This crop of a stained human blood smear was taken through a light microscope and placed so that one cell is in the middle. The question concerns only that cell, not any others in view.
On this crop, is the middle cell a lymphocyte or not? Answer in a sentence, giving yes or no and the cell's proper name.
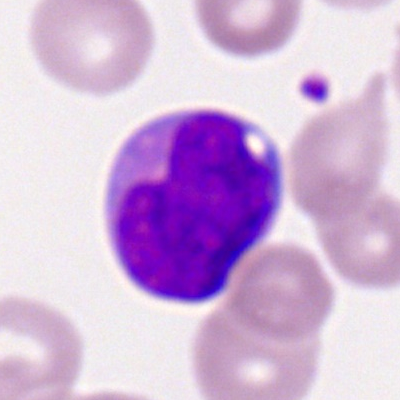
No, the cell in the middle is a myeloblast; it is not a lymphocyte.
